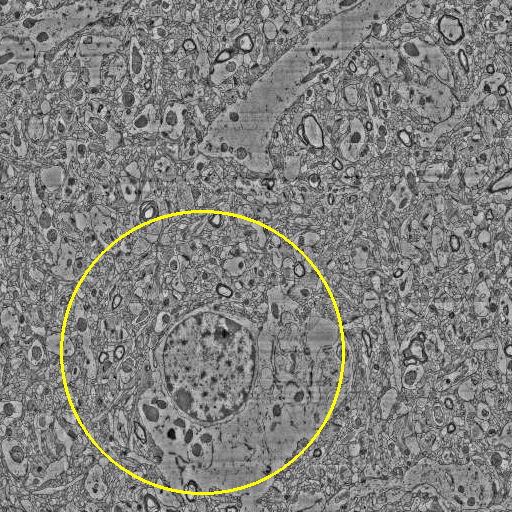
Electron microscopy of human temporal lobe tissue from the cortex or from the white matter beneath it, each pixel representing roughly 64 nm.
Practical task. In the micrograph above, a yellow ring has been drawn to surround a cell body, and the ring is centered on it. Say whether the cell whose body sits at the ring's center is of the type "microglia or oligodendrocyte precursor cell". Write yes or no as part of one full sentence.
Yes, the cell at the center of the ring above is of the type asked about.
